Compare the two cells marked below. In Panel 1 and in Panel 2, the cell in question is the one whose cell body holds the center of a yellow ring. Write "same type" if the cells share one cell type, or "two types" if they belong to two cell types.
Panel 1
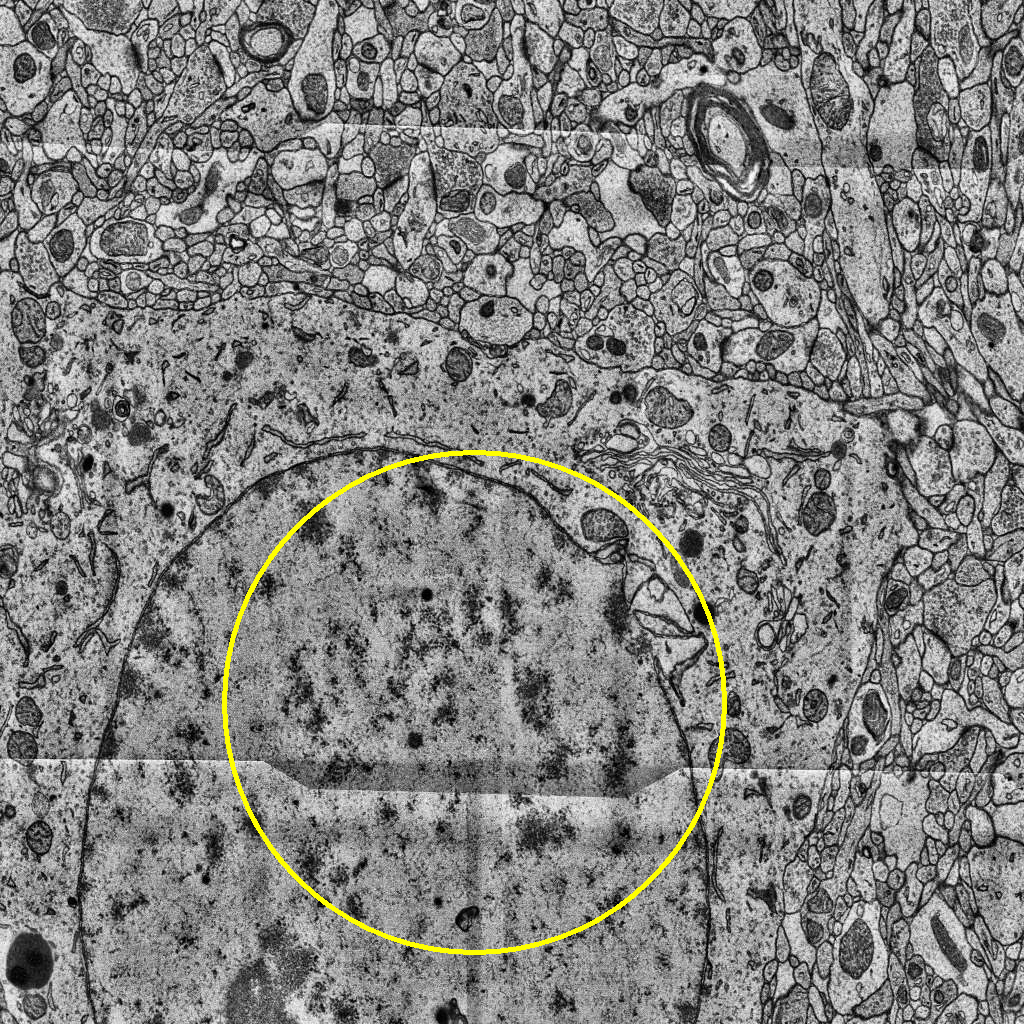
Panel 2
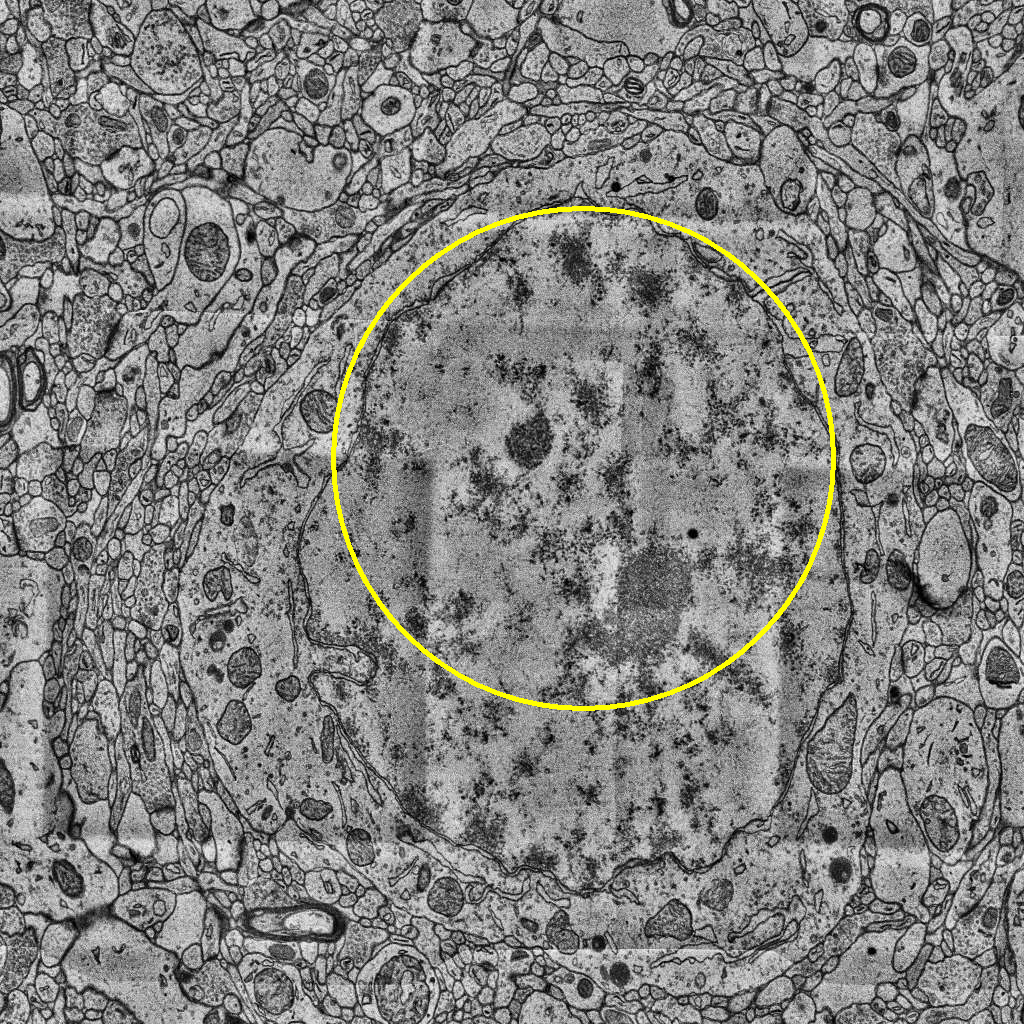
two types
